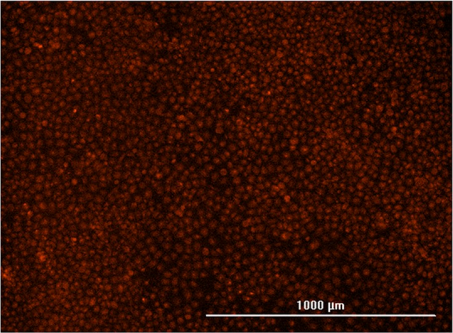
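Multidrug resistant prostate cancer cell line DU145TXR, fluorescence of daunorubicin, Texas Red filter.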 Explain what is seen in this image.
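A crowded, nearly confluent sheet of cultured cells fills the whole field, each cell lit orange-red against a dark background. The cells are small and rounded to slightly polygonal, packed closely side by side with few gaps between them. The red glow fills each cell body, so individual cells can be told apart as separate round shapes, with a few scattered brighter spots.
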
